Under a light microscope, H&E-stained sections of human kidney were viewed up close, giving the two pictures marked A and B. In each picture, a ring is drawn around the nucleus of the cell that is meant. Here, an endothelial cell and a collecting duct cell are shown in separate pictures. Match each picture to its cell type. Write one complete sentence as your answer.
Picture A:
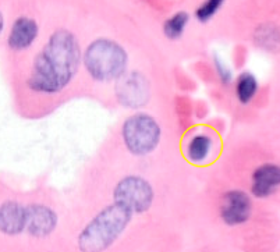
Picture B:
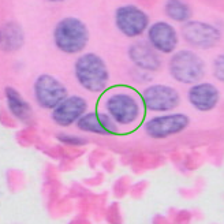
The cell in picture A is an endothelial cell, and the one in picture B is a collecting duct cell.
